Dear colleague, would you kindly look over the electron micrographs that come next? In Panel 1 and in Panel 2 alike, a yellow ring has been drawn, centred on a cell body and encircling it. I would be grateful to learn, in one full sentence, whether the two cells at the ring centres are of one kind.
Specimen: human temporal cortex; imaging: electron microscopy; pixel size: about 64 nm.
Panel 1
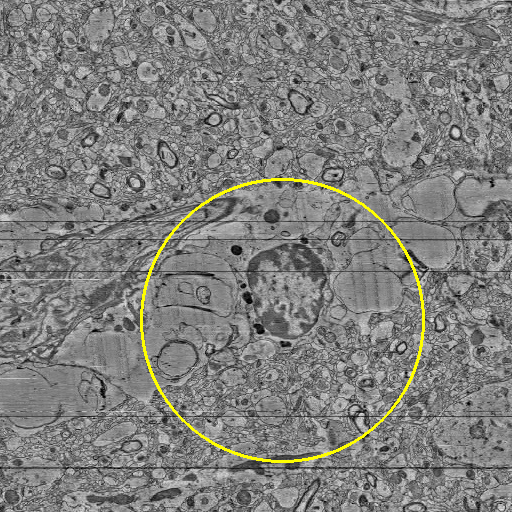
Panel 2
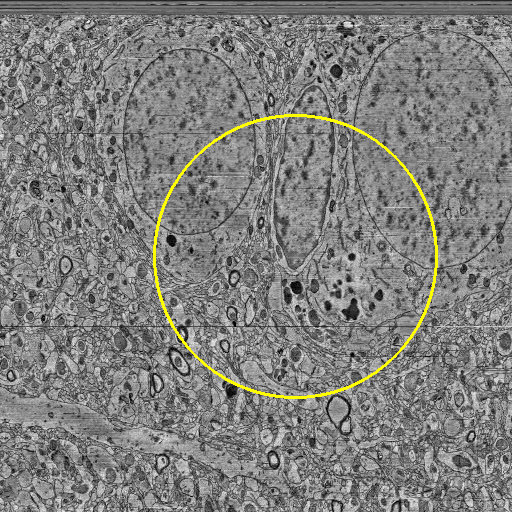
Yes, the cells in the middle of the rings in the two panels are of one kind.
